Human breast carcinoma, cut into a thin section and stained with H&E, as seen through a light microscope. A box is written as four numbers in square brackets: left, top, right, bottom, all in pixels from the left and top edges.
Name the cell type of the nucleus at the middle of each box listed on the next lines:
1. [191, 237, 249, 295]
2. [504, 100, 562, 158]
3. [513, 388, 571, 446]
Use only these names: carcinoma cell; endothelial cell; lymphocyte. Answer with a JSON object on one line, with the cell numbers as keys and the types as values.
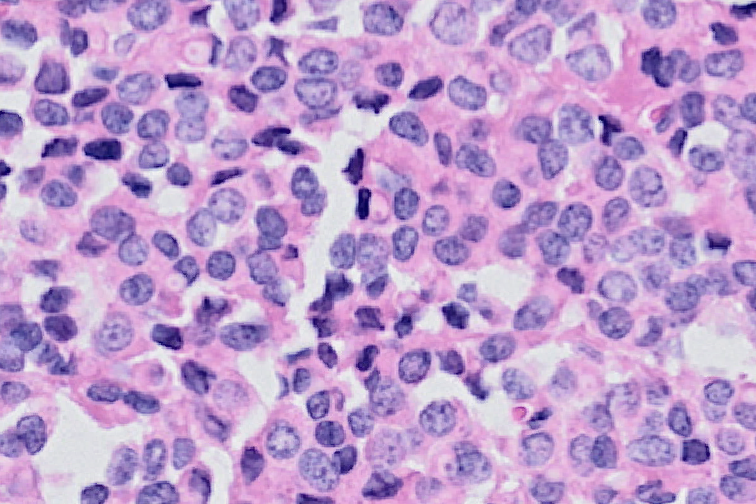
{"1": "carcinoma cell", "2": "carcinoma cell", "3": "endothelial cell"}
